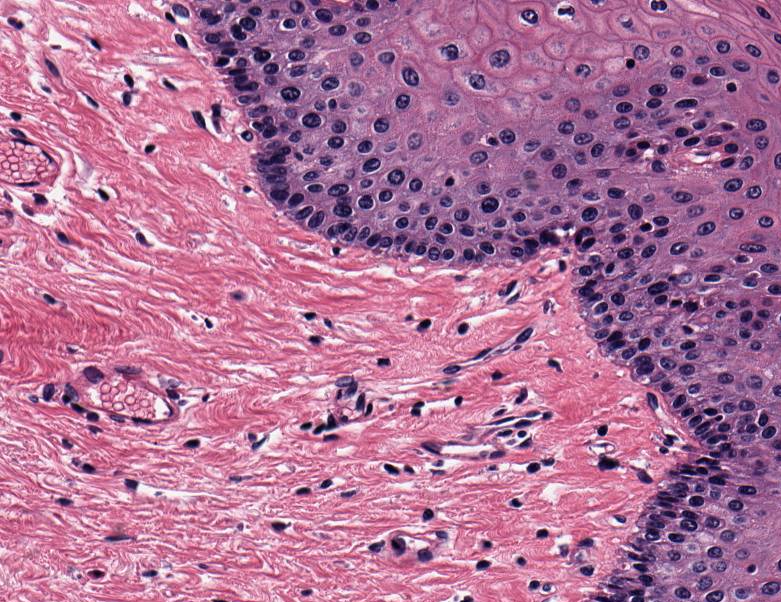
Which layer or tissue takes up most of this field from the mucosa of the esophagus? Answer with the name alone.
loose connective tissue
